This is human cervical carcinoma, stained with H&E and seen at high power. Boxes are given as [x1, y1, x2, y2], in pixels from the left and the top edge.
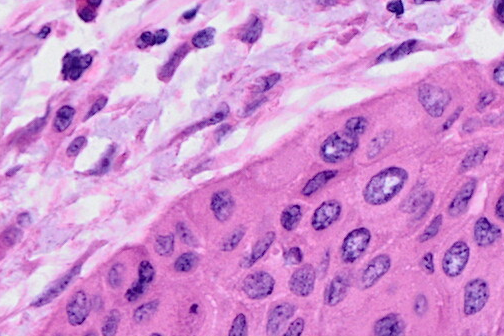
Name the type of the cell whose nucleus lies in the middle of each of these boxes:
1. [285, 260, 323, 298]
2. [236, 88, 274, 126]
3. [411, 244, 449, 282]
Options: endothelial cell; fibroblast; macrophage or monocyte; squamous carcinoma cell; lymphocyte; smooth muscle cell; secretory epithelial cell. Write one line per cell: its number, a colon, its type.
1: squamous carcinoma cell
2: fibroblast
3: squamous carcinoma cell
